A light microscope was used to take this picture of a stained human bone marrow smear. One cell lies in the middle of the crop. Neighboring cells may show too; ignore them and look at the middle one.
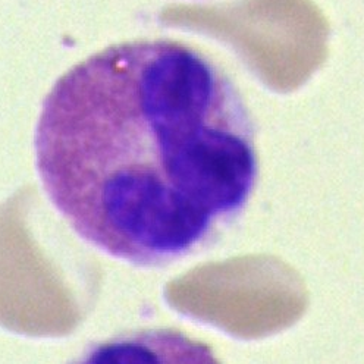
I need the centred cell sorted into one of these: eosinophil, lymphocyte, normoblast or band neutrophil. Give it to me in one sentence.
Regarding the central cell, it is an eosinophil.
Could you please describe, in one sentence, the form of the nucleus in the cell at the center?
Rather than a single mass, the nucleus forms two or more lobes.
